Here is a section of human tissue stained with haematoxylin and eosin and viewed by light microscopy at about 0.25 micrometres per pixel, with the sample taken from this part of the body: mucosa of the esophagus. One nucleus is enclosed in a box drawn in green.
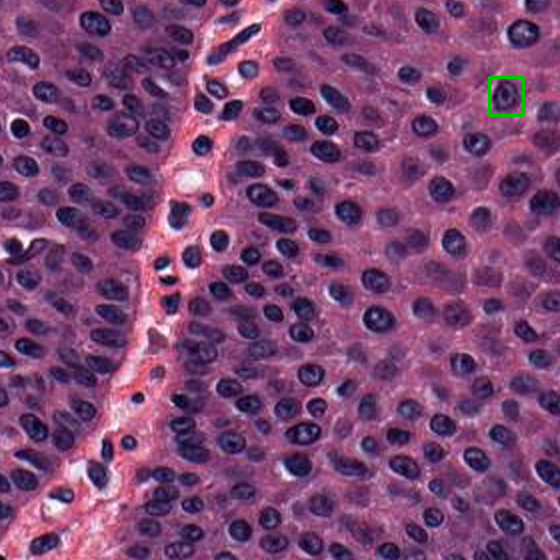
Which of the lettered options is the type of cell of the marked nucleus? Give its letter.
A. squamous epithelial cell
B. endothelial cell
A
